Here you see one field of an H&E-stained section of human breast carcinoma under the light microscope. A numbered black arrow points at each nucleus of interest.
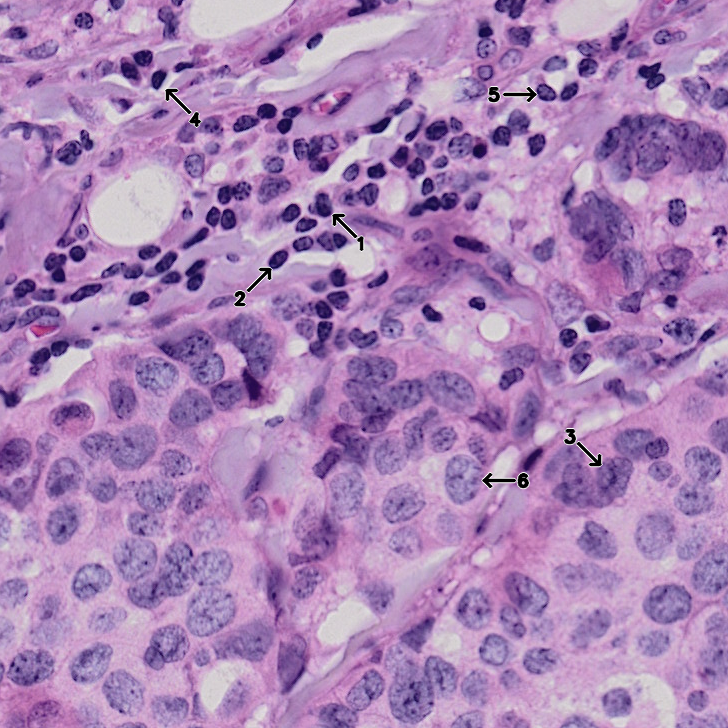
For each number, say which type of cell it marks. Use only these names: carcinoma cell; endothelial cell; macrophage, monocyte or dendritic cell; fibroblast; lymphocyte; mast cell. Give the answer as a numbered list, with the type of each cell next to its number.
1. lymphocyte
2. lymphocyte
3. carcinoma cell
4. lymphocyte
5. lymphocyte
6. carcinoma cell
